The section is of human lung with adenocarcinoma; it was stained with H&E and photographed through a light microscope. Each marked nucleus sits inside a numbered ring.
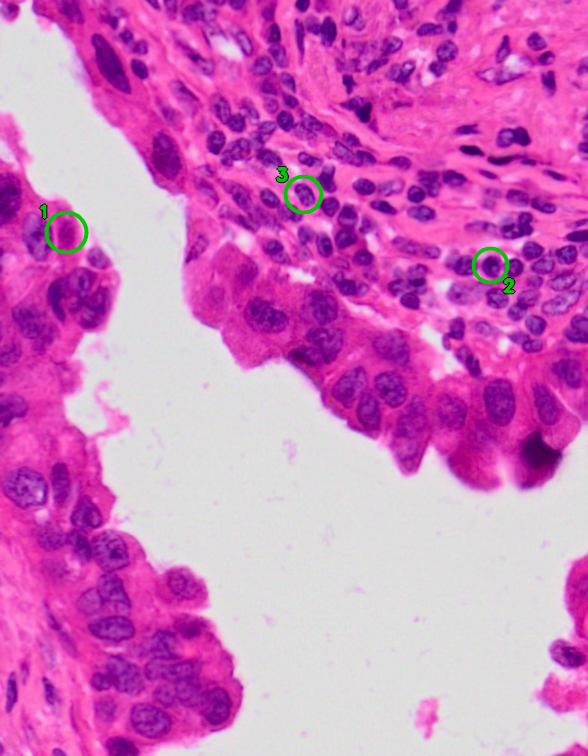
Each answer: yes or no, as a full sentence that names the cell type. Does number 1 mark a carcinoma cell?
Yes, the cell marked with number 1 is a carcinoma cell.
